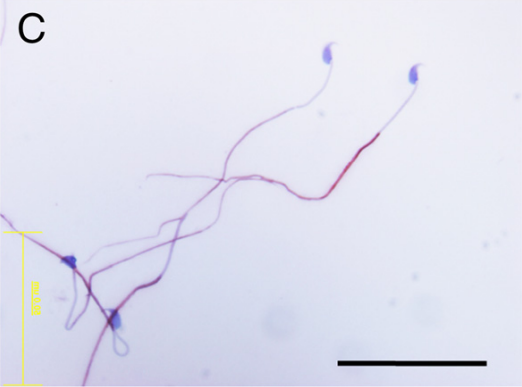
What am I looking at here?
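Spermatozoa spread on a slide, each with a small hook-shaped head stained blue and a long thin tail. Stretches of some of the tails are stained red, while the heads stay blue.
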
